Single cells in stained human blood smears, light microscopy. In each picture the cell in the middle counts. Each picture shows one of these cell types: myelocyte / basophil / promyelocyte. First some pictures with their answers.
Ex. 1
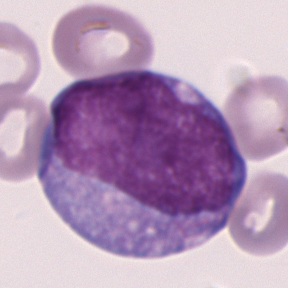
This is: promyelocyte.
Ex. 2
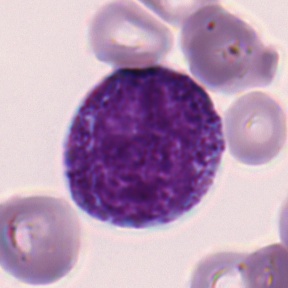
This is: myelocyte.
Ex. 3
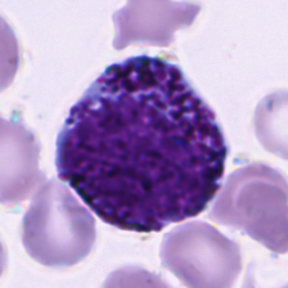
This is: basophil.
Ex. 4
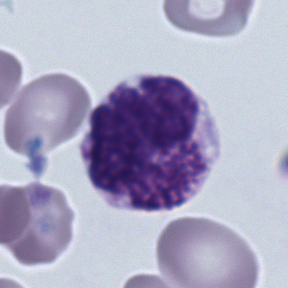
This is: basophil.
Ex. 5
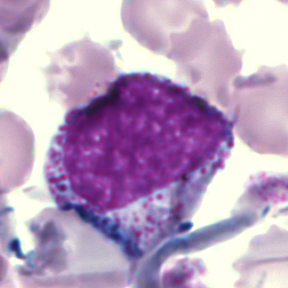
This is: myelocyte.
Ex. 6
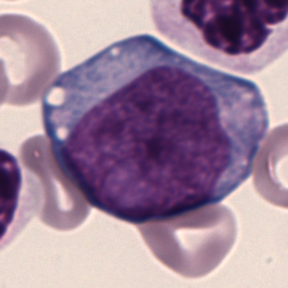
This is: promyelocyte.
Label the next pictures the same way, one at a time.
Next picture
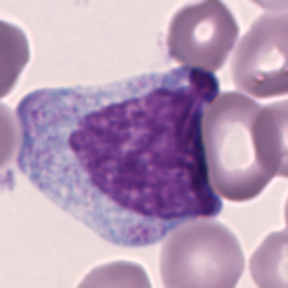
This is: promyelocyte.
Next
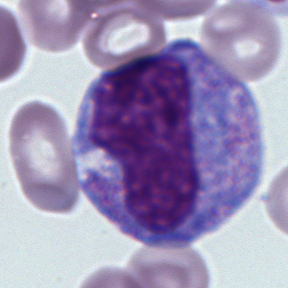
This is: promyelocyte.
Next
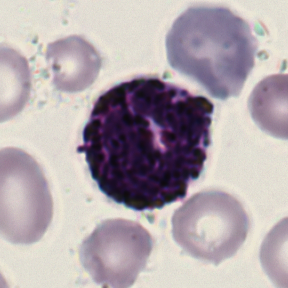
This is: basophil.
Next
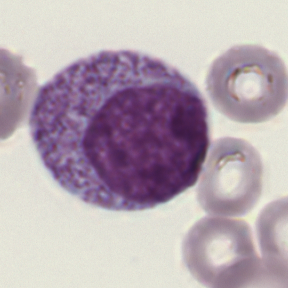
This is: myelocyte.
